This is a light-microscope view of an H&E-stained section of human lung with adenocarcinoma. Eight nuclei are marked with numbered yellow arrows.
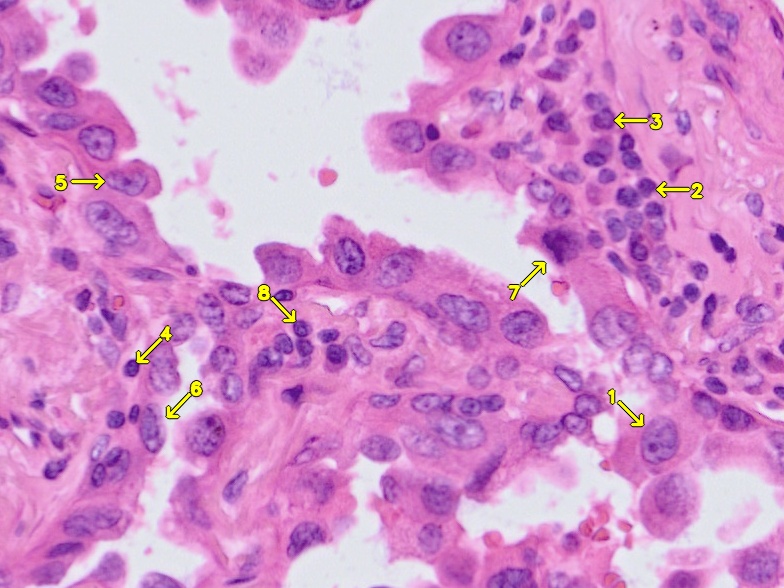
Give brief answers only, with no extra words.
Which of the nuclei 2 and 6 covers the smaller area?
2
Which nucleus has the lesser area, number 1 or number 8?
8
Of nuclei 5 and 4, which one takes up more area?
5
